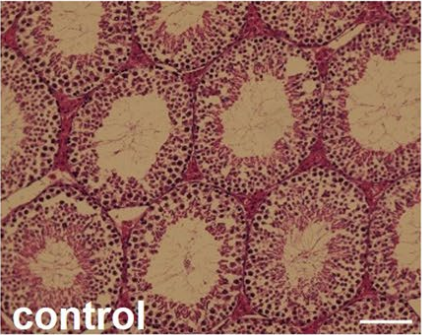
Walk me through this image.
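Cross-sections of round seminiferous tubules fill the field, each packed with many layers of cells with dark purple nuclei stacked from the outer wall toward a central lumen. The cells near the wall are crowded and darkly staining, while nearer the center the layers thin into pale material with fine radiating filaments in the lumen. Between the tubules lie small pink-red interstitial areas. The tubules are of similar size and tightly apposed. This is testis tissue with complete spermatogenesis, the germinal epithelium showing the full layered succession of germ cells up to the lumen.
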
